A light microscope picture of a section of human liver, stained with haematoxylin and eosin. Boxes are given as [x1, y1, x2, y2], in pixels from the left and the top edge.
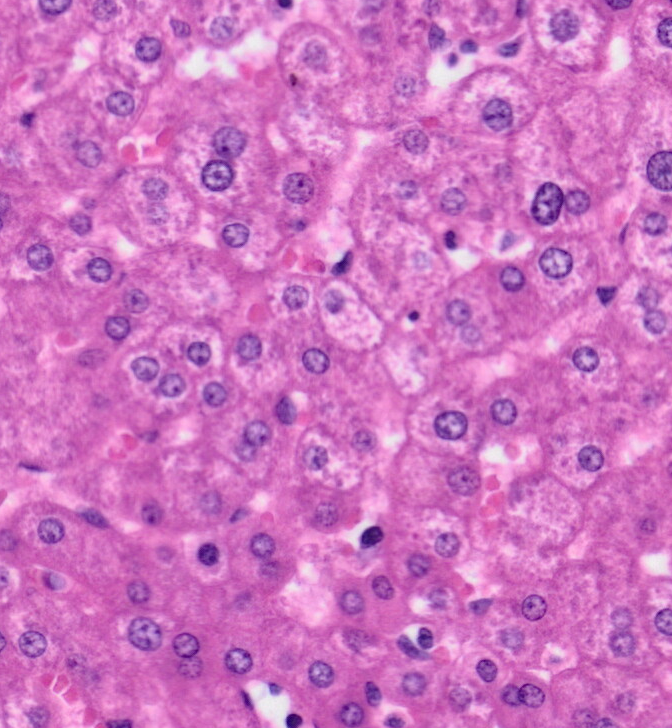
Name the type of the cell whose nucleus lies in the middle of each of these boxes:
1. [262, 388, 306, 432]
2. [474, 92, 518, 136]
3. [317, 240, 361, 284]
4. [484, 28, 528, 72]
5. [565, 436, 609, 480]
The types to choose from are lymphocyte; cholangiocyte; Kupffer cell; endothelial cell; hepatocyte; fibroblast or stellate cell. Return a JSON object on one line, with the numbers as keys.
{"1": "endothelial cell", "2": "hepatocyte", "3": "endothelial cell", "4": "lymphocyte", "5": "hepatocyte"}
